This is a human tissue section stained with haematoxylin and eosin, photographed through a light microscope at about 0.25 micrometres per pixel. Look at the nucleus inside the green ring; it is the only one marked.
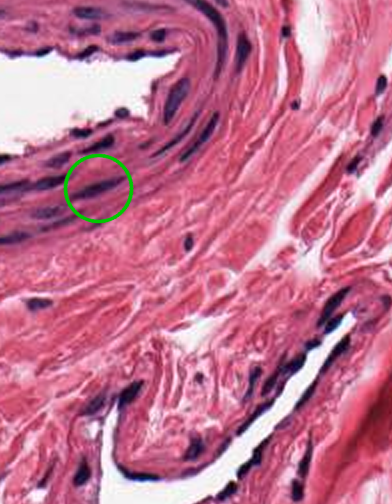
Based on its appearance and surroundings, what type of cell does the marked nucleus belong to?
smooth muscle cell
